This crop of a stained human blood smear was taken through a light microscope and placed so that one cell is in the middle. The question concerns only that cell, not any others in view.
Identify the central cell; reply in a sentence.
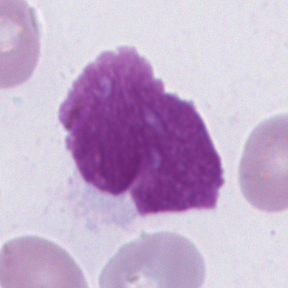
Occupying the centre of the crop is a smudge cell.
